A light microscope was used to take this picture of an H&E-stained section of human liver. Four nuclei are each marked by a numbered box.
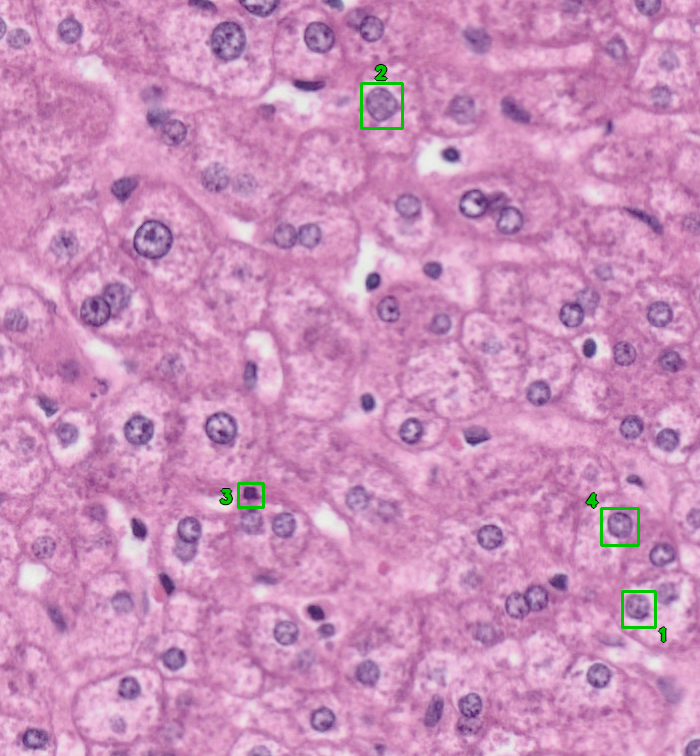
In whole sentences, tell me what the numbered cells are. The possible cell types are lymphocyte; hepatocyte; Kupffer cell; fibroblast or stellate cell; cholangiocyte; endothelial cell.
Cell 1 is a hepatocyte, cell 2 is a hepatocyte, cell 3 is a fibroblast or stellate cell and cell 4 is a hepatocyte.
